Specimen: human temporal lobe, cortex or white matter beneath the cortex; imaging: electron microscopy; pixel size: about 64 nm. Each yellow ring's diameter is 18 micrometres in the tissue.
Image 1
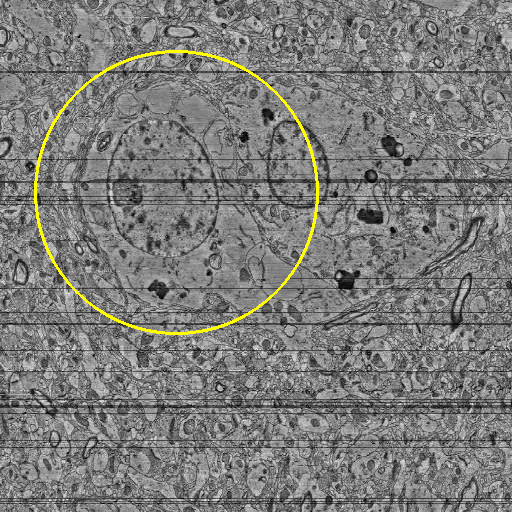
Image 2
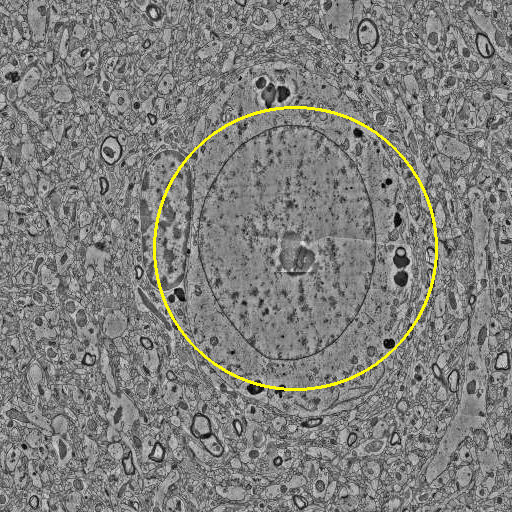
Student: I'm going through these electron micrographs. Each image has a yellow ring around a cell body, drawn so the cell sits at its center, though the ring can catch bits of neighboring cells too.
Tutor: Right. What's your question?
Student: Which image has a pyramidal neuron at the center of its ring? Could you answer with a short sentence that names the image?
Image 2 shows it at the center of its ring.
